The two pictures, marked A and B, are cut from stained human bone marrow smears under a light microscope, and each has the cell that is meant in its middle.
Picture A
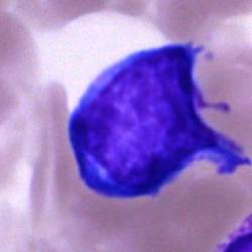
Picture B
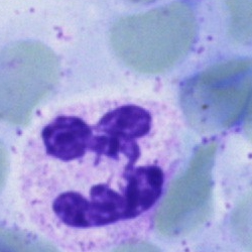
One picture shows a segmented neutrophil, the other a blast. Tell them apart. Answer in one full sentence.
The cell in picture A is a blast, and the one in picture B is a segmented neutrophil.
